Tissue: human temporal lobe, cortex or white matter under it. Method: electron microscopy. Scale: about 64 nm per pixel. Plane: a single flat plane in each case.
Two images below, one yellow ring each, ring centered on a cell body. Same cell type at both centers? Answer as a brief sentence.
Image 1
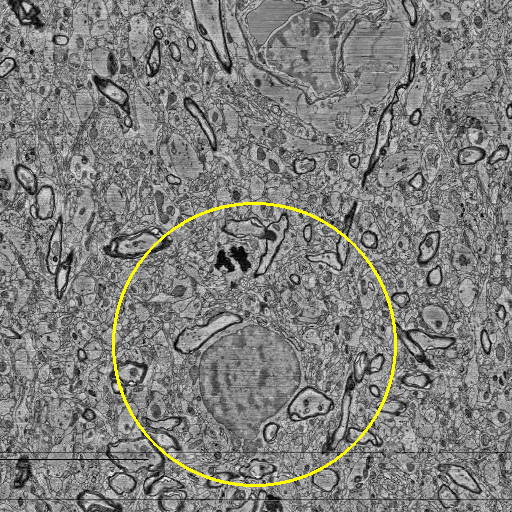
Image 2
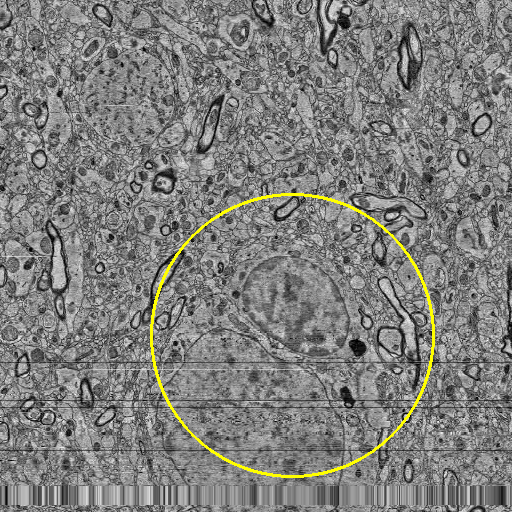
Yes, both cells are of the same type.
